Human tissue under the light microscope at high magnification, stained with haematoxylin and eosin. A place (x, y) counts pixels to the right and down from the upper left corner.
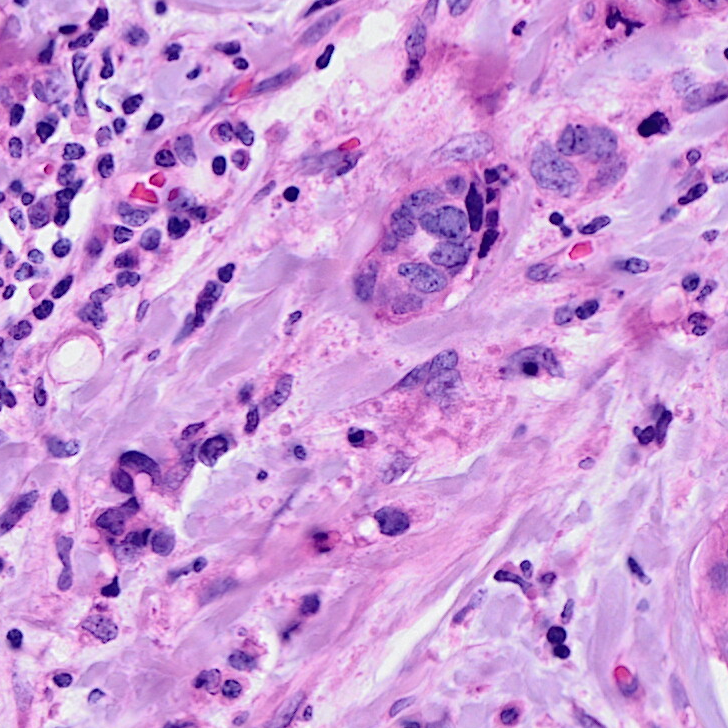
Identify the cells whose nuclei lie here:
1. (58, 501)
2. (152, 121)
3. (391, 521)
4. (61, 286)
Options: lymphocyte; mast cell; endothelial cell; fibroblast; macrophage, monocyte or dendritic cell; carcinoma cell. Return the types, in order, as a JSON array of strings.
["lymphocyte", "lymphocyte", "carcinoma cell", "lymphocyte"]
